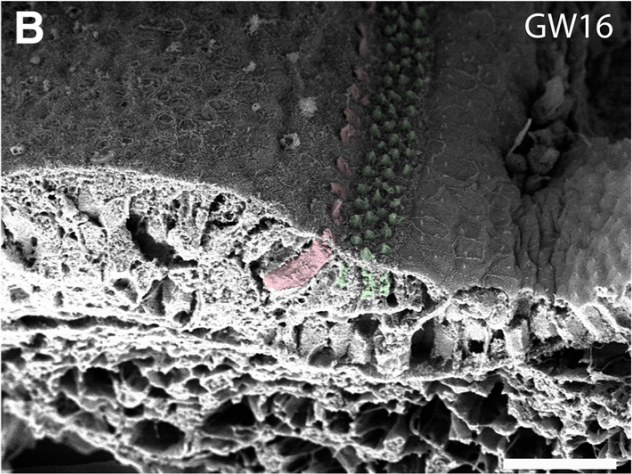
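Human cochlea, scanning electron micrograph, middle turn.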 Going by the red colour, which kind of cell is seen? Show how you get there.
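The red-colored cells form a single row on the epithelial surface. They lie at the inner edge, next to several rows of green-colored cells.
Conclusion: inner hair cells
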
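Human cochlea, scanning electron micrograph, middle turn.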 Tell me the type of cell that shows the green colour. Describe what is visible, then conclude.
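The green-colored cells form several parallel rows of small dome-shaped apices. The rows run beside a single row of red-colored cells. On this evidence: outer hair cells.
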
